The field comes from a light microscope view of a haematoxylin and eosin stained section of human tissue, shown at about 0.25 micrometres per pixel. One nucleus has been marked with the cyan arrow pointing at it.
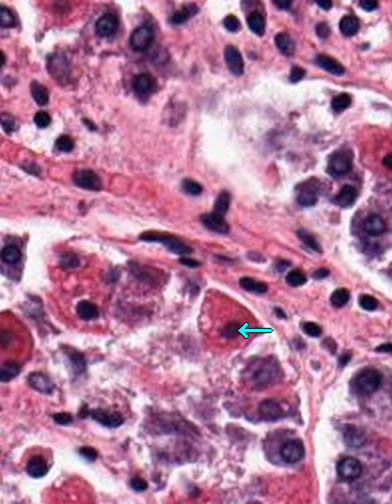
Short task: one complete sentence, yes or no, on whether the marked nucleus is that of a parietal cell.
Yes, the marked nucleus is the nucleus belonging to a parietal cell.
